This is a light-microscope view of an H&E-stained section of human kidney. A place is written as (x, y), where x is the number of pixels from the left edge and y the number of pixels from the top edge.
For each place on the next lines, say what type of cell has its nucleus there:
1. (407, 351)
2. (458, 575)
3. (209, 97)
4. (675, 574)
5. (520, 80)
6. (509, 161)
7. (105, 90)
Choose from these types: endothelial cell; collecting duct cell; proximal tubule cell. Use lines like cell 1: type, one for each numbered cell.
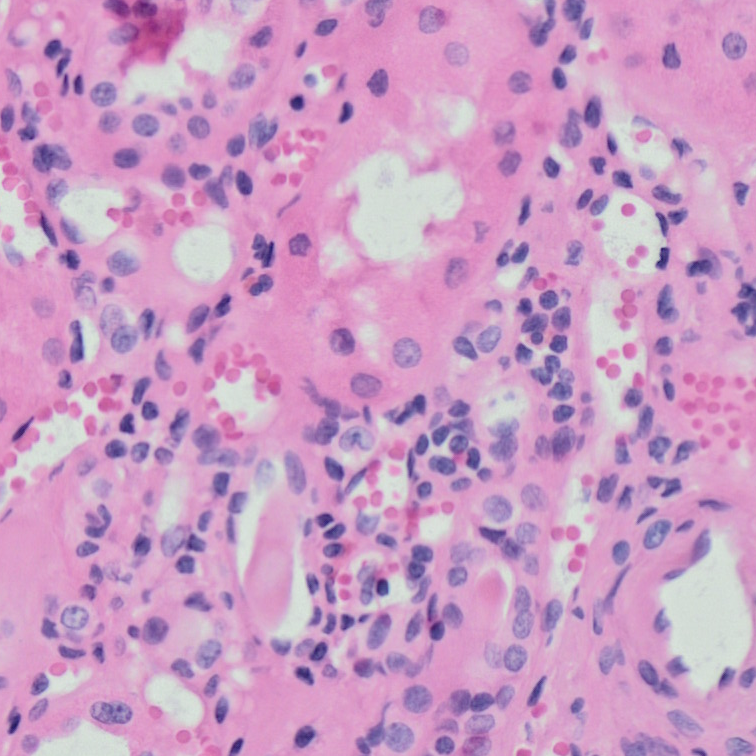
cell 1: proximal tubule cell
cell 2: collecting duct cell
cell 3: collecting duct cell
cell 4: endothelial cell
cell 5: proximal tubule cell
cell 6: proximal tubule cell
cell 7: collecting duct cell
